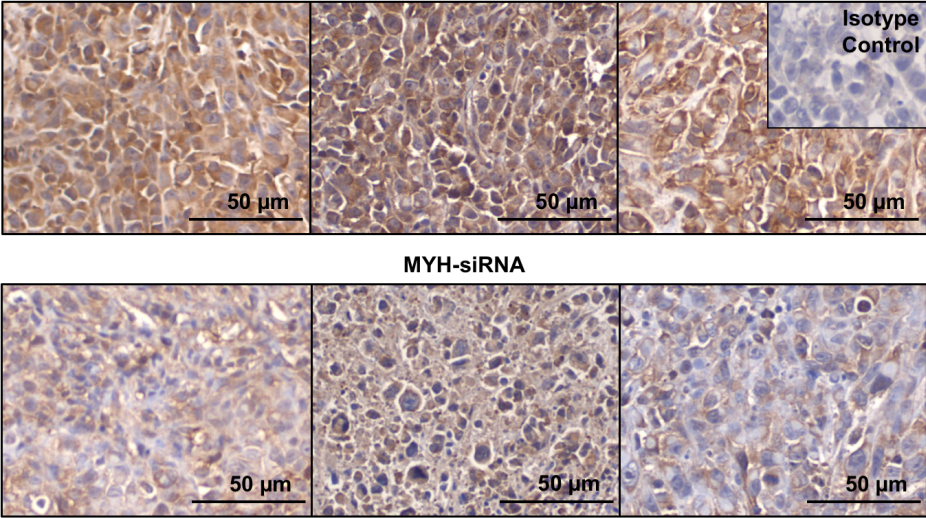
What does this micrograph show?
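Sections of tumor show solid sheets of tightly packed, polygonal to rounded tumor cells with large oval blue nuclei and little intervening stroma. In the upper row the cytoplasm and cell borders stain a fairly strong brown. In the lower row the brown is paler and the blue nuclei stand out more, while the inset in the upper right shows blue nuclei with no brown stain.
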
